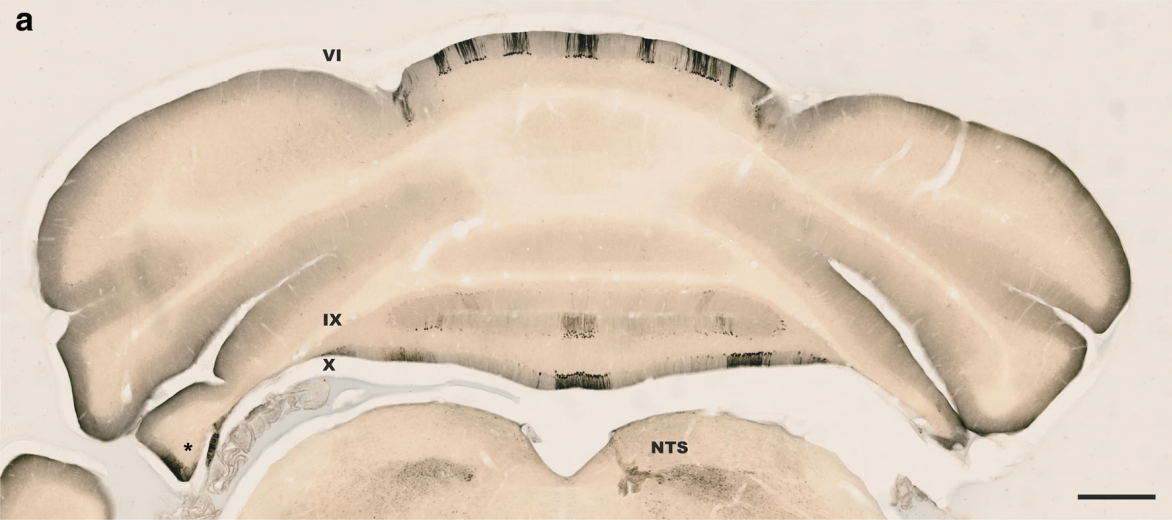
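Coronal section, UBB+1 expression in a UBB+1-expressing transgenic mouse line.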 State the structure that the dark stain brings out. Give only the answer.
parasagittal stripes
